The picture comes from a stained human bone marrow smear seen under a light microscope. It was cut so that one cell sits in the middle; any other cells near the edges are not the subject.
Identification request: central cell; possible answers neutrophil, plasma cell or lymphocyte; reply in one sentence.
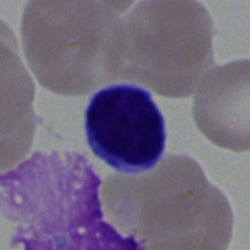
The middle cell in this particular crop is a lymphocyte.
